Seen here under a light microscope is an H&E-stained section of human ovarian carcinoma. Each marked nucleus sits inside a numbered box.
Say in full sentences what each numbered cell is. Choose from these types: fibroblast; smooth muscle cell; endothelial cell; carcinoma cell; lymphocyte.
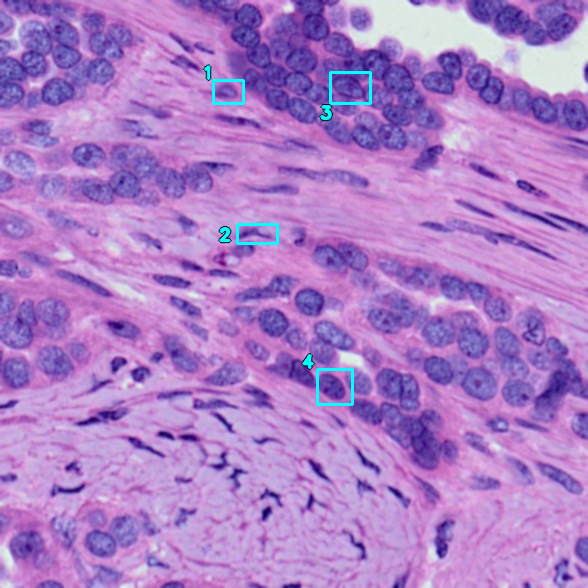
Cells 1 and 2 are fibroblasts. Cells 3 and 4 are carcinoma cells.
